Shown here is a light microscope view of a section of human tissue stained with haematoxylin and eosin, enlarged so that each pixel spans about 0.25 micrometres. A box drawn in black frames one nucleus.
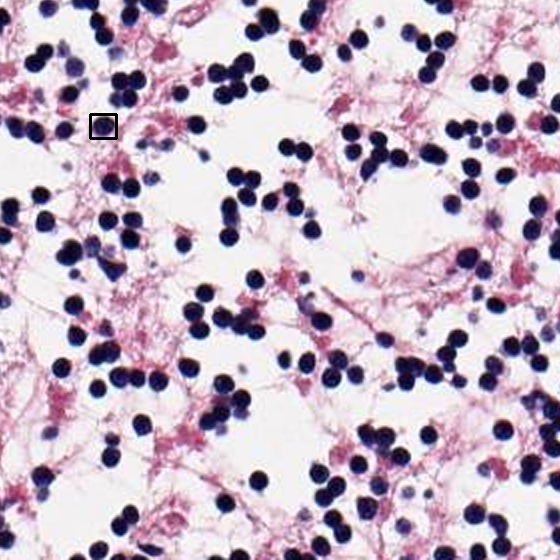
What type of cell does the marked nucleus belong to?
cerebellar granule cell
